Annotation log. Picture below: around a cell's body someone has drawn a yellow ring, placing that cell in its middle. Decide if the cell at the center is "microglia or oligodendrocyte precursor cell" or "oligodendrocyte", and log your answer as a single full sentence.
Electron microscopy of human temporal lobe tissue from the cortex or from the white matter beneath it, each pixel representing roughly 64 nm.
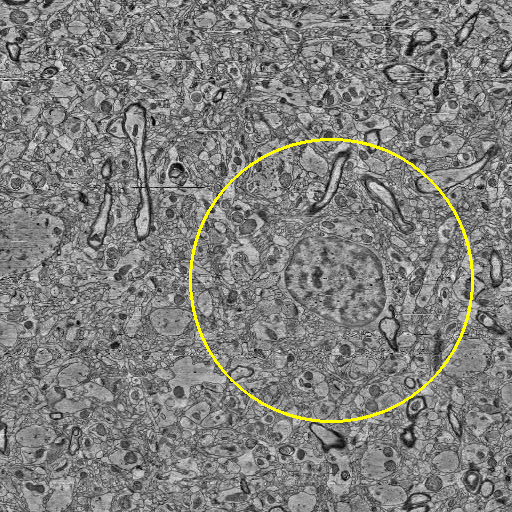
My entry records an oligodendrocyte as the cell sitting at the center of the yellow ring.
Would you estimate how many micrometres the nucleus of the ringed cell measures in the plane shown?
The ringed cell's nucleus is about 7 micrometres long and 6 micrometres wide in this plane.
